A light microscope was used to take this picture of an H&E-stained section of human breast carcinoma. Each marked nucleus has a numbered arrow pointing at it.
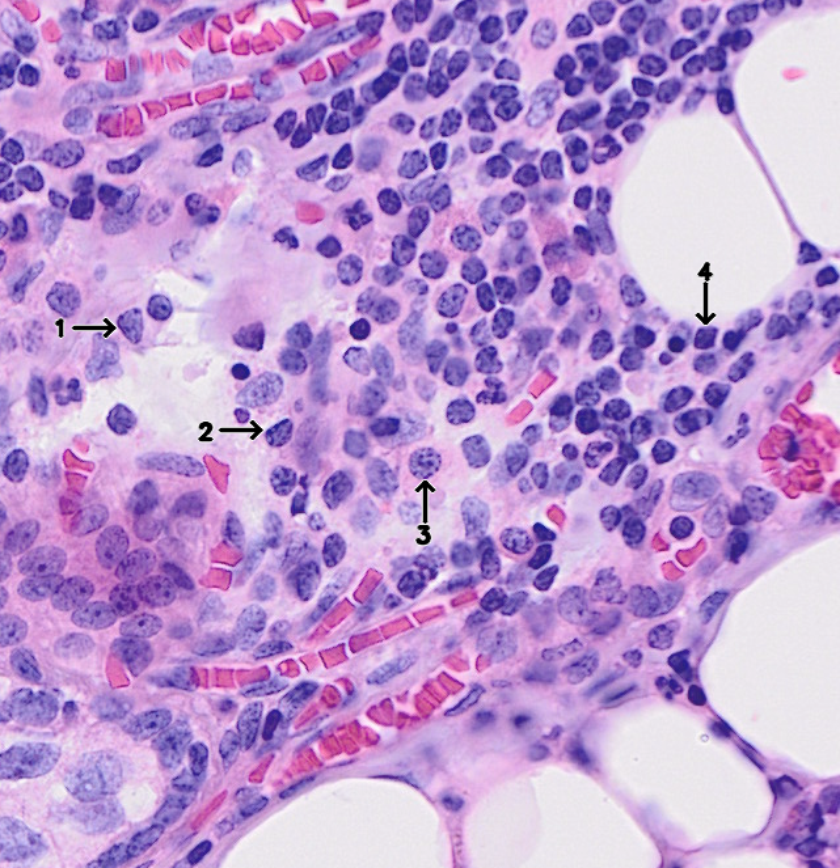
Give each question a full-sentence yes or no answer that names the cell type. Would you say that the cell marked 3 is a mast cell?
Yes, the cell with its nucleus marked 3 is a mast cell.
